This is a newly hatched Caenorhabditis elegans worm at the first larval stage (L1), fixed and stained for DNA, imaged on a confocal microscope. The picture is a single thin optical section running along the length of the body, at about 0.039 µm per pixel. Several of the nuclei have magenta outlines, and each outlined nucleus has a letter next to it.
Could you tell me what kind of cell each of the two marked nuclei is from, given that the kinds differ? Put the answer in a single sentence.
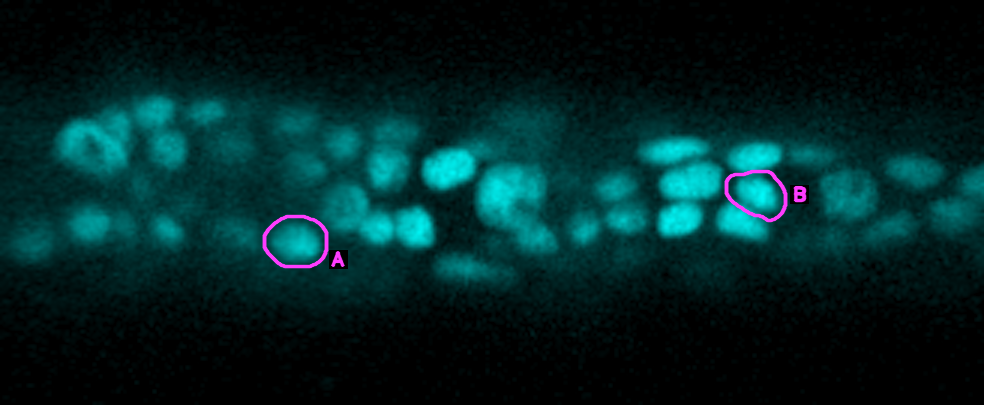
A belongs to a neuron and B to a glial cell (sheath or socket).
